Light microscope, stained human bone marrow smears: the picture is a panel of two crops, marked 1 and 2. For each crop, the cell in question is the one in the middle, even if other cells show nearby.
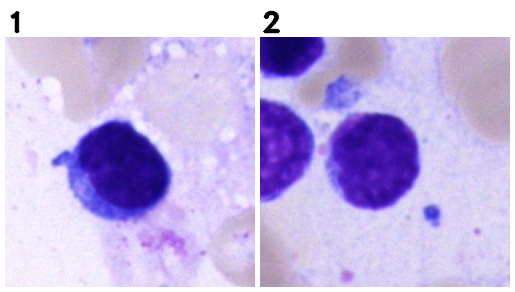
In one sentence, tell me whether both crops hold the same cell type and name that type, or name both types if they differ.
Yes, the centred cells are lymphocytes in both crops.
